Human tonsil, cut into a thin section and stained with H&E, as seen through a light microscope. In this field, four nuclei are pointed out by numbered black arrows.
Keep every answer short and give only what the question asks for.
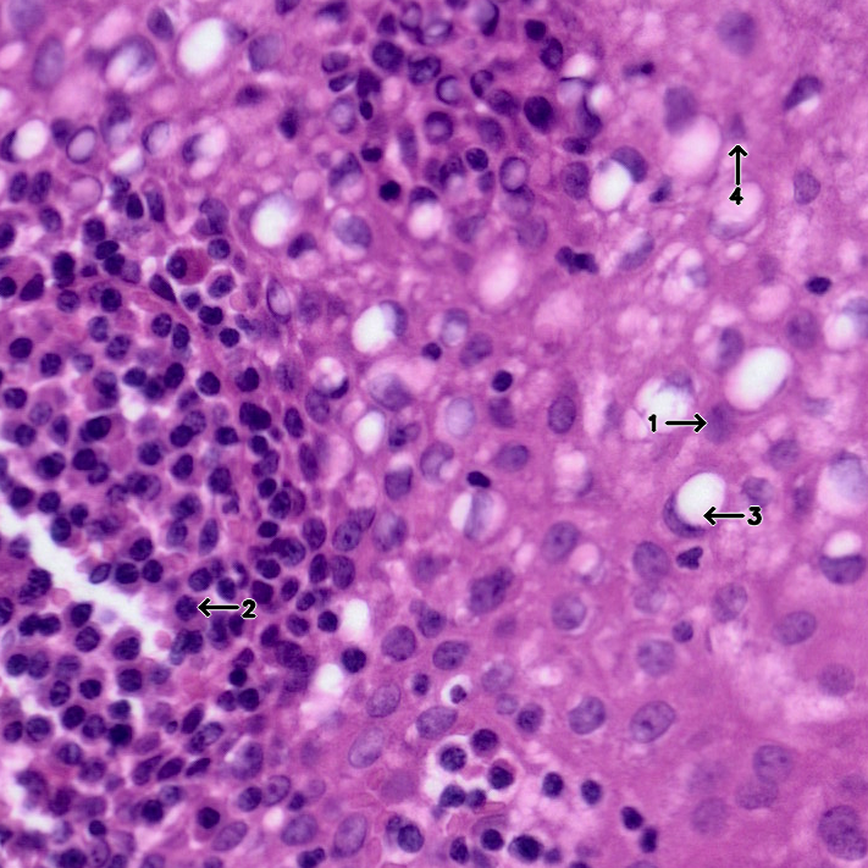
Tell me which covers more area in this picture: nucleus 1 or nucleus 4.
1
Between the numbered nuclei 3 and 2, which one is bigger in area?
3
